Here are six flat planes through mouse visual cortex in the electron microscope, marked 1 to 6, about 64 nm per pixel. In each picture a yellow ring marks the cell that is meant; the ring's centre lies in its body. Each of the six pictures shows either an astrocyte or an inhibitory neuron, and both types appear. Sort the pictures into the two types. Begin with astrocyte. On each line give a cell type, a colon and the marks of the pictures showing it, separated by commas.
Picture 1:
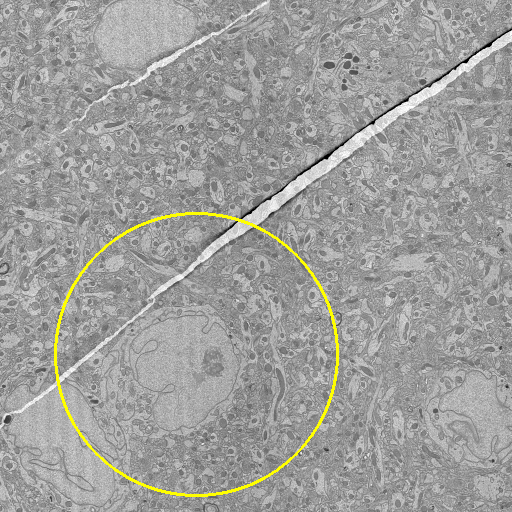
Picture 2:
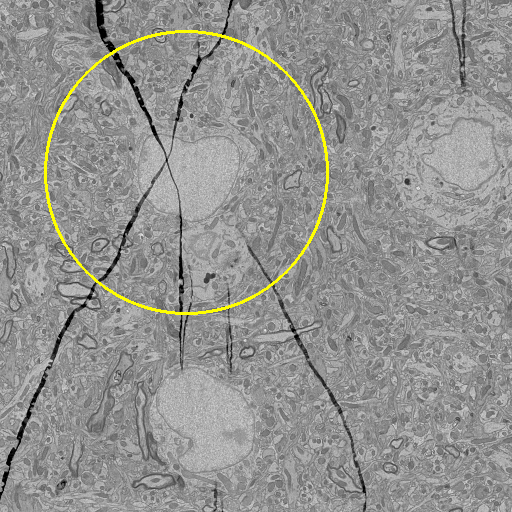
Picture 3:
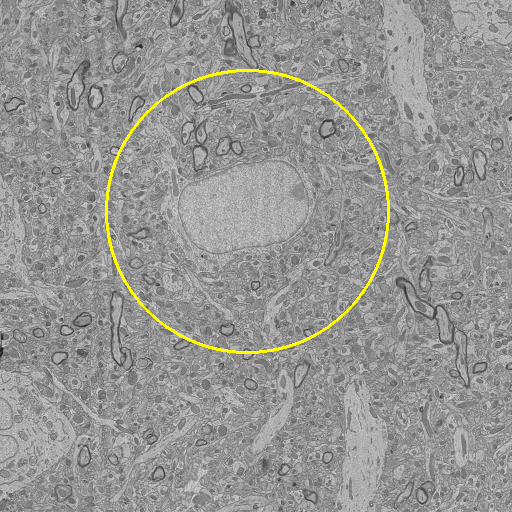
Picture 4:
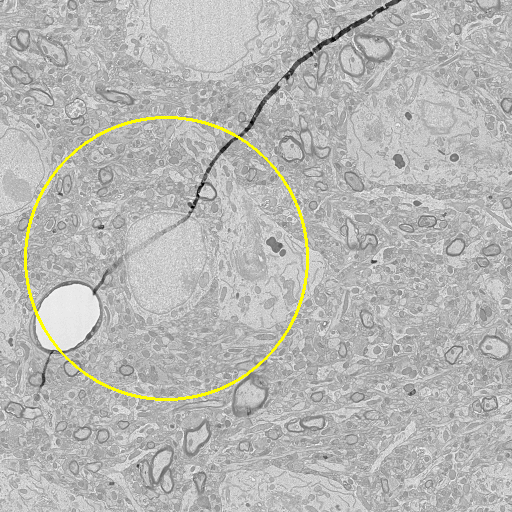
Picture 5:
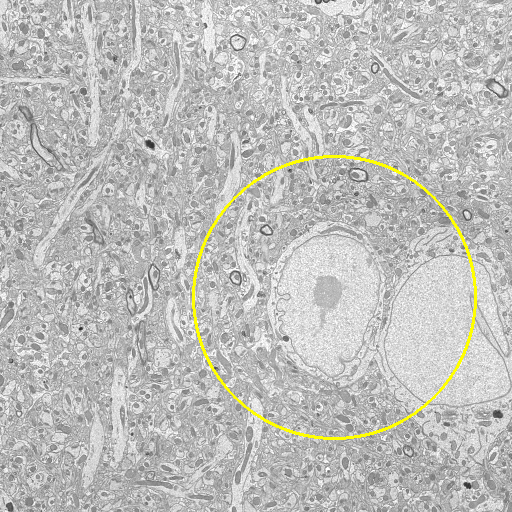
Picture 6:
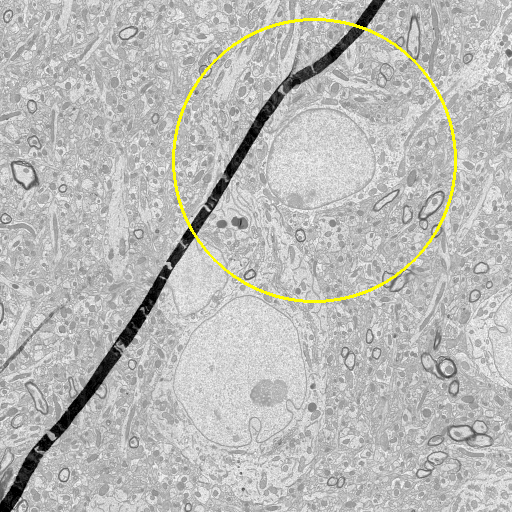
astrocyte: 2, 3, 4, 6
inhibitory neuron: 1, 5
